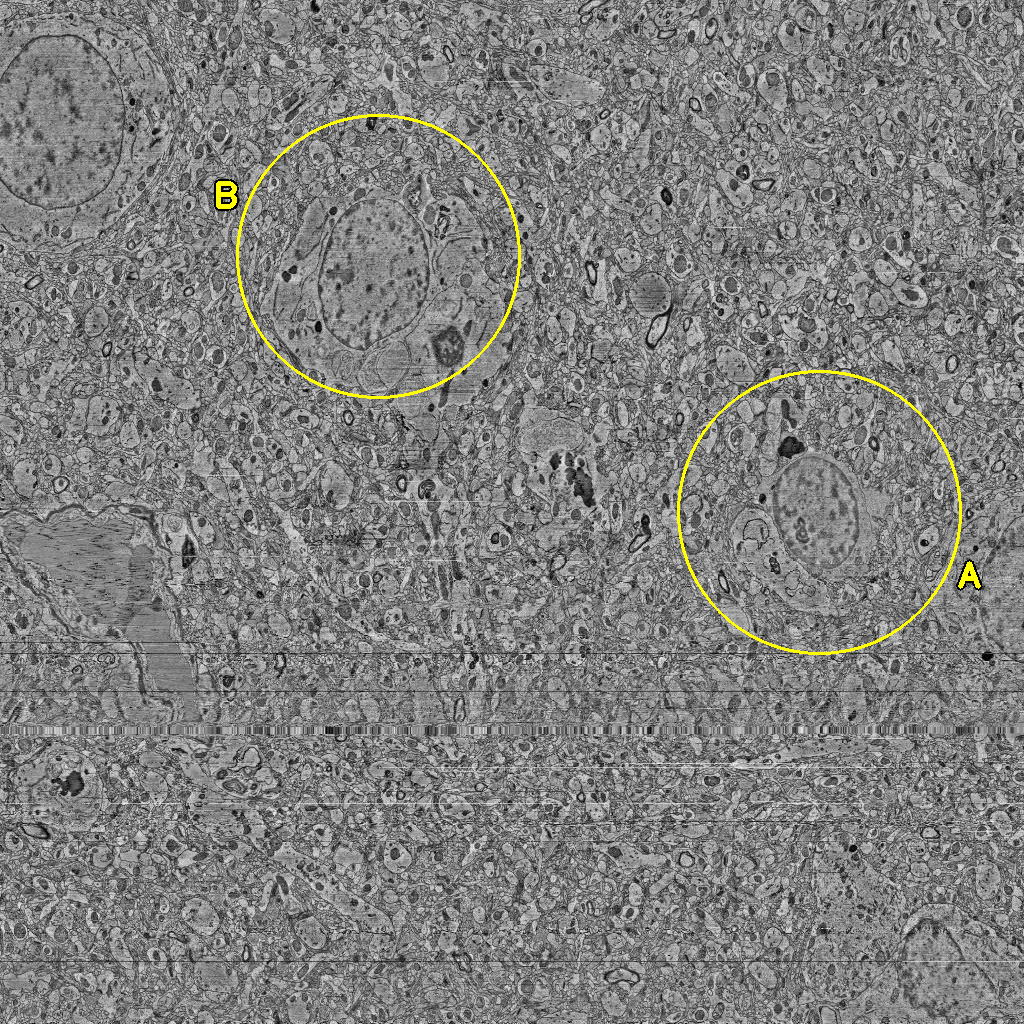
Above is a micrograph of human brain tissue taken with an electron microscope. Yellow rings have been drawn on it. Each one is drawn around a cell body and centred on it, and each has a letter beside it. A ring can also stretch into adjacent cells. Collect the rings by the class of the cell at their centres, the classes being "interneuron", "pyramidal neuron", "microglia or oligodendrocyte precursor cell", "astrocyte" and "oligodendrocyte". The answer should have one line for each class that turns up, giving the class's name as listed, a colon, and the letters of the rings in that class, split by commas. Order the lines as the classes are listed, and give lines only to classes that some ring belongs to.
astrocyte: B
oligodendrocyte: A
